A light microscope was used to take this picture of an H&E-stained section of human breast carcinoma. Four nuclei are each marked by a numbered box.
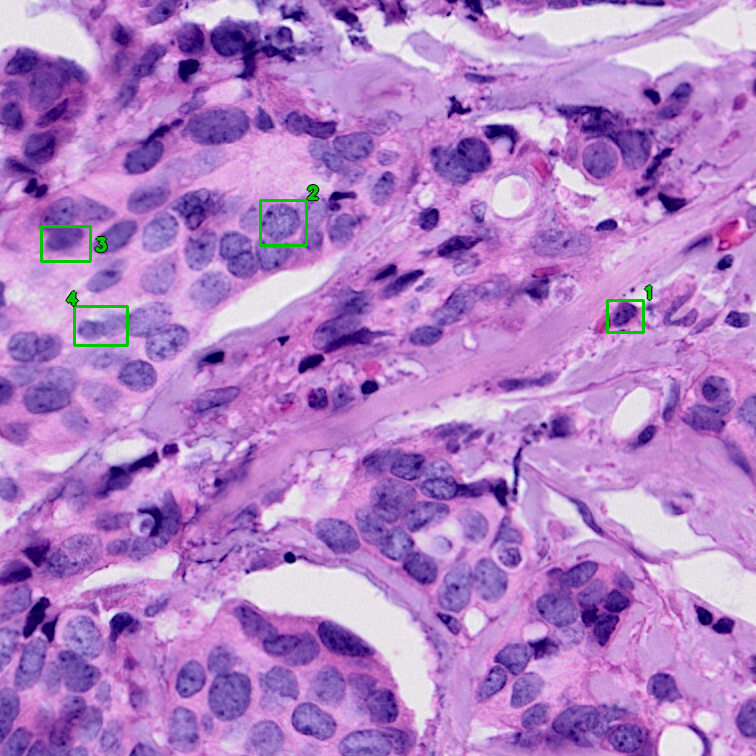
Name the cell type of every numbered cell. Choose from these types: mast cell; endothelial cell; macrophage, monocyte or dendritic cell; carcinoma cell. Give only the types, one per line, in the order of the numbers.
mast cell
carcinoma cell
carcinoma cell
carcinoma cell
